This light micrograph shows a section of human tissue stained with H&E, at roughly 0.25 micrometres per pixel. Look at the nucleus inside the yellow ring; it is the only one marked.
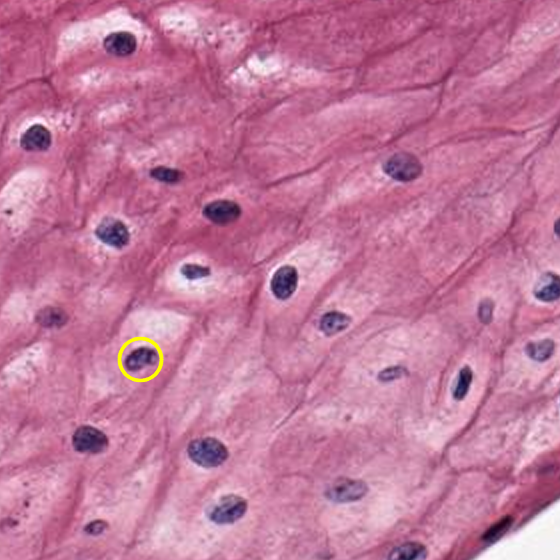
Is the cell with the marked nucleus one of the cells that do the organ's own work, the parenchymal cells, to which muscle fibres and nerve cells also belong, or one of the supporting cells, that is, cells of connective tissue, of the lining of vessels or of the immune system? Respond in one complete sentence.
In the section shown, the marked nucleus belongs to a parenchymal cell, namely a squamous epithelial cell.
